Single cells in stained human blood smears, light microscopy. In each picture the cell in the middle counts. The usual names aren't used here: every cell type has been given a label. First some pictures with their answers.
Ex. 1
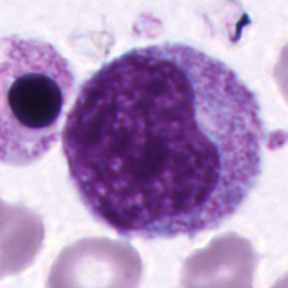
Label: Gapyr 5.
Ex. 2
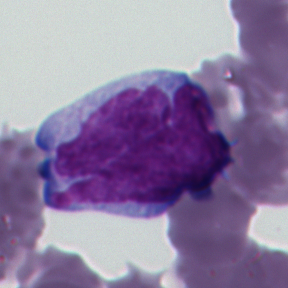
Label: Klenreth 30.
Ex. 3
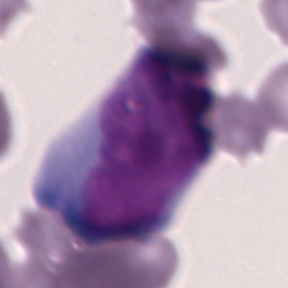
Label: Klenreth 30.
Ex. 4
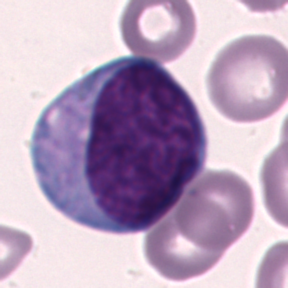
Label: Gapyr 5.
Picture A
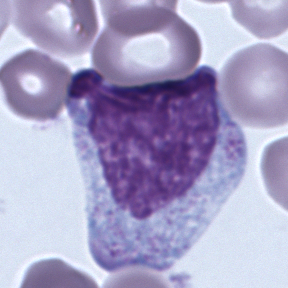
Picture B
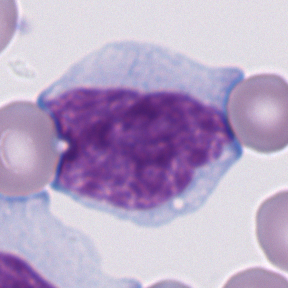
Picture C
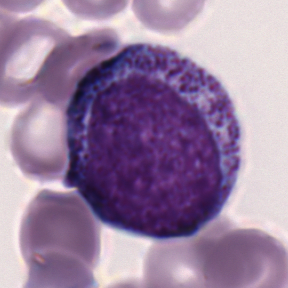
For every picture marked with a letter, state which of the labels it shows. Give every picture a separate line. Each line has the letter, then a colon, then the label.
A: Gapyr 5.
B: Klenreth 30.
C: Gapyr 5.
